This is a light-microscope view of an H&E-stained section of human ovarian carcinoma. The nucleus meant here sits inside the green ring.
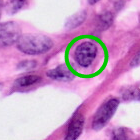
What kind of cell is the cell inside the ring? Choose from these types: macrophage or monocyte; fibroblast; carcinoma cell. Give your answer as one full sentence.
In short, the cell inside the ring on this section is a macrophage or monocyte.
